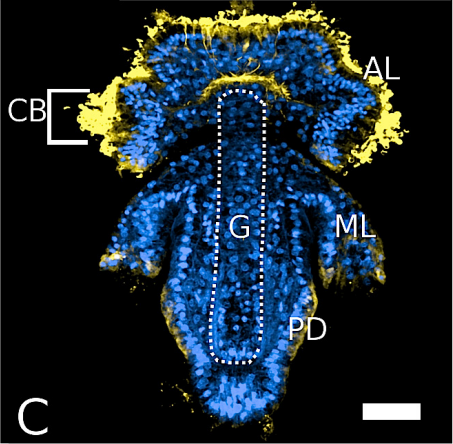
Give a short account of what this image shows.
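Whole larva in frontal view with three lobes of blue nuclei-packed tissue and a central blind-ended gut. The front lobe is broad and fringed with a dense yellow band of cilia, thickest at its sides. An elongated tube of cells runs down the midline and ends closed inside the body.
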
